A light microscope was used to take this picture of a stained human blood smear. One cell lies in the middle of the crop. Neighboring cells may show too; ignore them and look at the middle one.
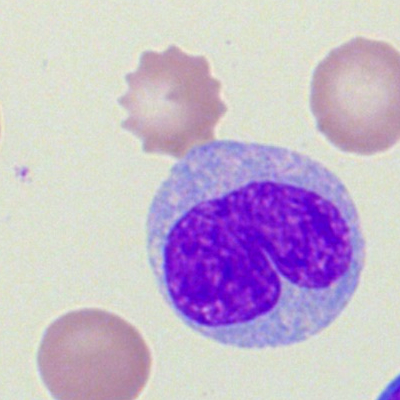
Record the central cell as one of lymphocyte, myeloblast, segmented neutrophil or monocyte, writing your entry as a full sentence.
The crop shows a monocyte in its centre.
